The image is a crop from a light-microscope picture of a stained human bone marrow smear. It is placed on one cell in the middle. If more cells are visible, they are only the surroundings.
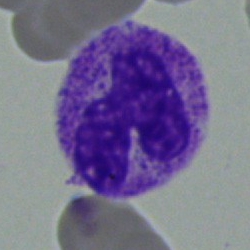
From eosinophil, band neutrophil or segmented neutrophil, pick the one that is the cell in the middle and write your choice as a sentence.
In the centre of this crop there is a band neutrophil.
